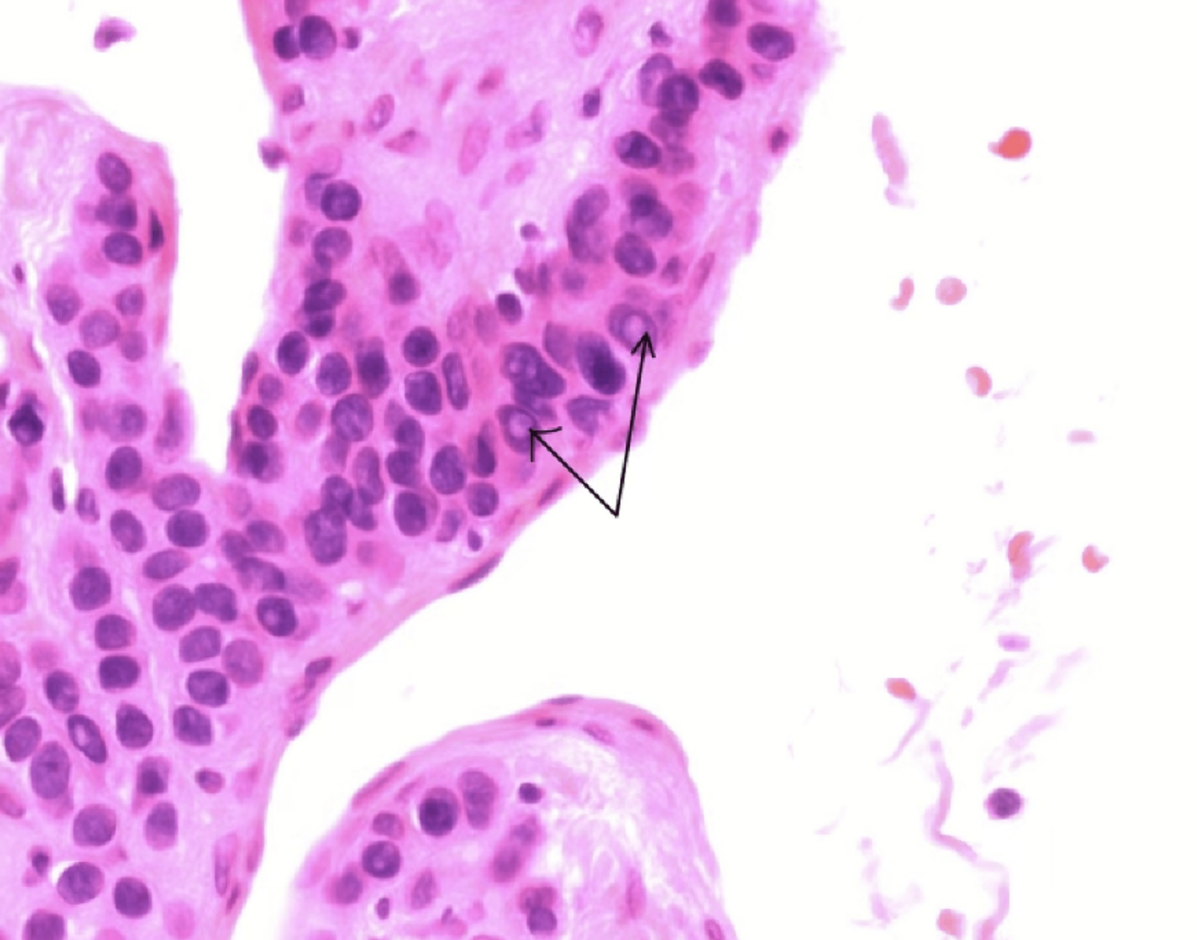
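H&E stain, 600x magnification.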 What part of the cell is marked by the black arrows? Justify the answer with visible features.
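Intranuclear inclusions. The arrows point to nuclei that each contain a round, pale, sharply bordered spot. The pale spots lie inside the nuclear outline, surrounded by a rim of dark chromatin.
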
